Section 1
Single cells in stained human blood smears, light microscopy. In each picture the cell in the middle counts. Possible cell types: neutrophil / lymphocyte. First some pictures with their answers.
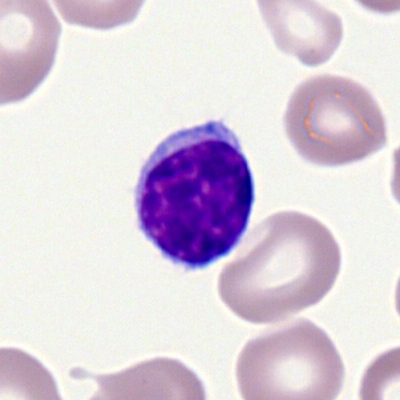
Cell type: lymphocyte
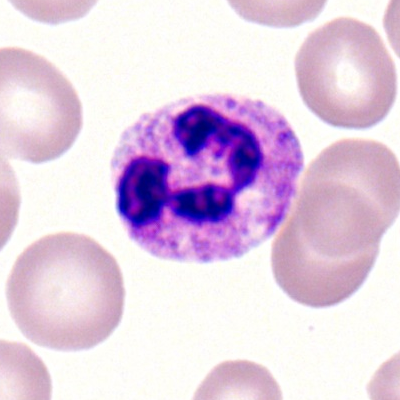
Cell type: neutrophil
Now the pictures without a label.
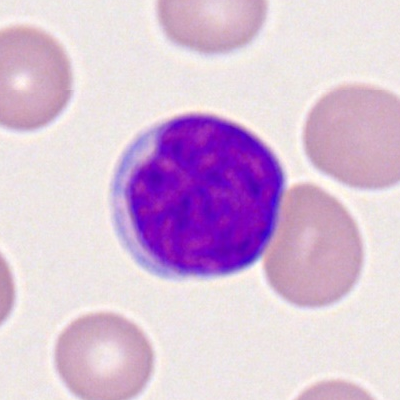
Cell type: lymphocyte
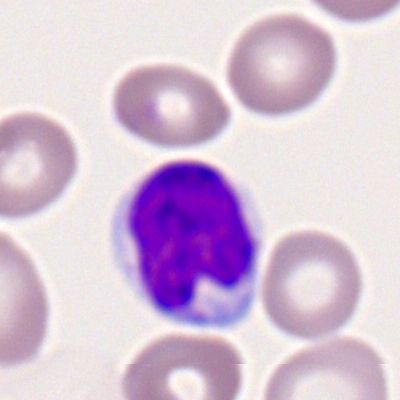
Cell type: lymphocyte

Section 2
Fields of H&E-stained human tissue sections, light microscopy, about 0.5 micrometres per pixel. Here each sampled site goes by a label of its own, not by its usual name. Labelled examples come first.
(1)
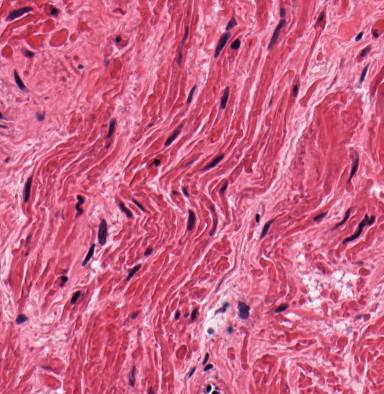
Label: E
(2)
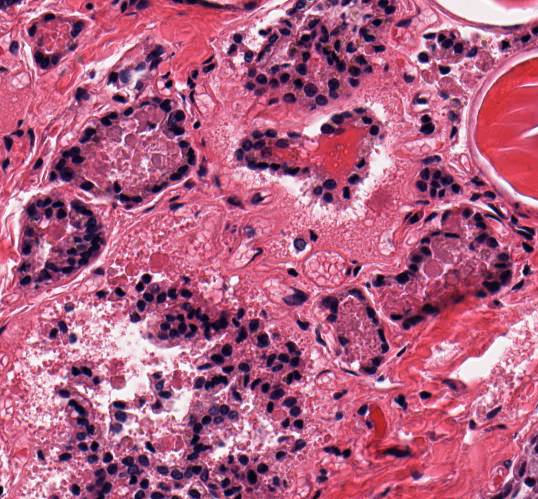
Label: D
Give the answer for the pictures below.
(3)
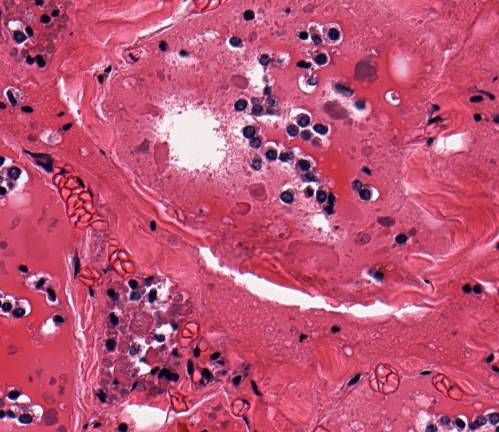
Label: D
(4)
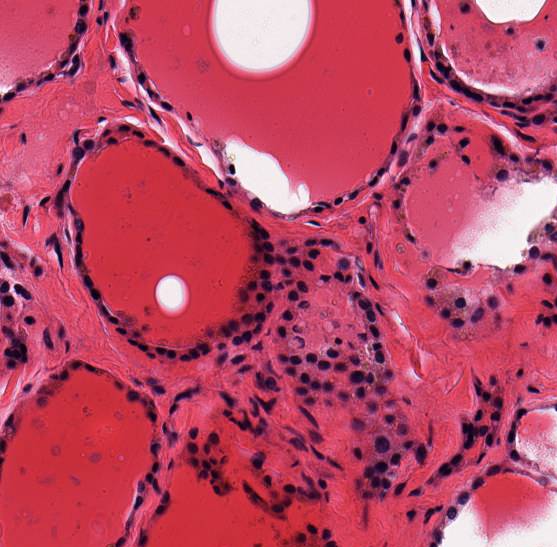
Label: D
